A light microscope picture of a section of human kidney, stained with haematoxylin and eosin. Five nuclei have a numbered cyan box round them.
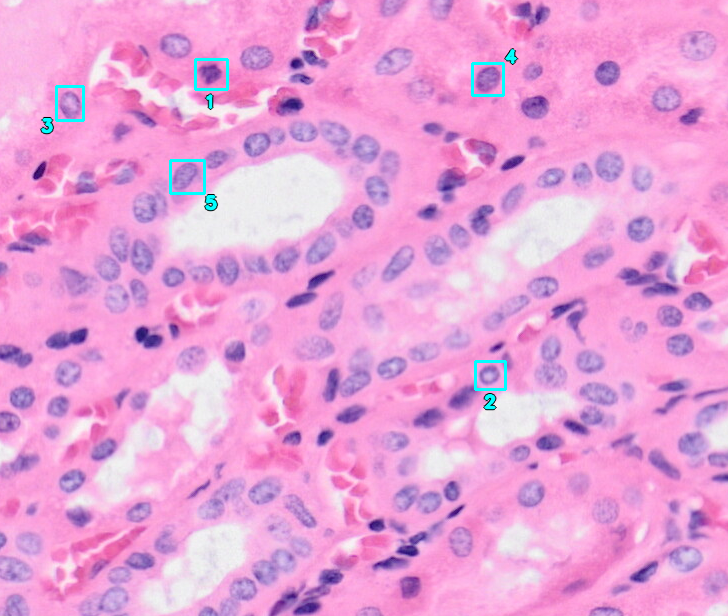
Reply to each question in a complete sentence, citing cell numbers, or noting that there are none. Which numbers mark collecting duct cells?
The cells given the numbers 2 and 5 are collecting duct cells.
